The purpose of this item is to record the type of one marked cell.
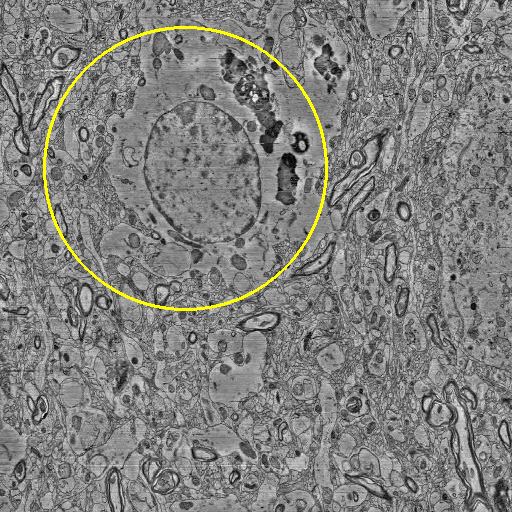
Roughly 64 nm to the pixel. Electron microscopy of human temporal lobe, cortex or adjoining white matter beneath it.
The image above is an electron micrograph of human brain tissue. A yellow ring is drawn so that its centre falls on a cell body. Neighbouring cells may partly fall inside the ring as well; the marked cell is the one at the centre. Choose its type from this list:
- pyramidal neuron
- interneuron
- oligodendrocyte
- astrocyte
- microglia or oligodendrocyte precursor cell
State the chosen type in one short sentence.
What the ring marks here is an astrocyte.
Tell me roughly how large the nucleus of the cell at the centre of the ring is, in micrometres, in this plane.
Approximately 10 micrometres long and 7 micrometres wide, in this plane.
